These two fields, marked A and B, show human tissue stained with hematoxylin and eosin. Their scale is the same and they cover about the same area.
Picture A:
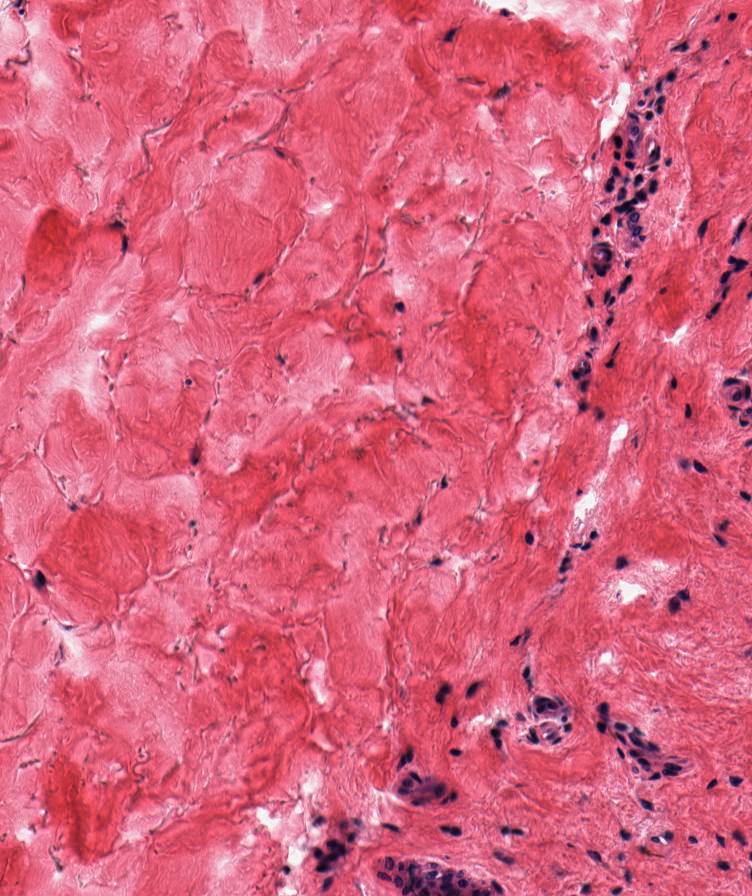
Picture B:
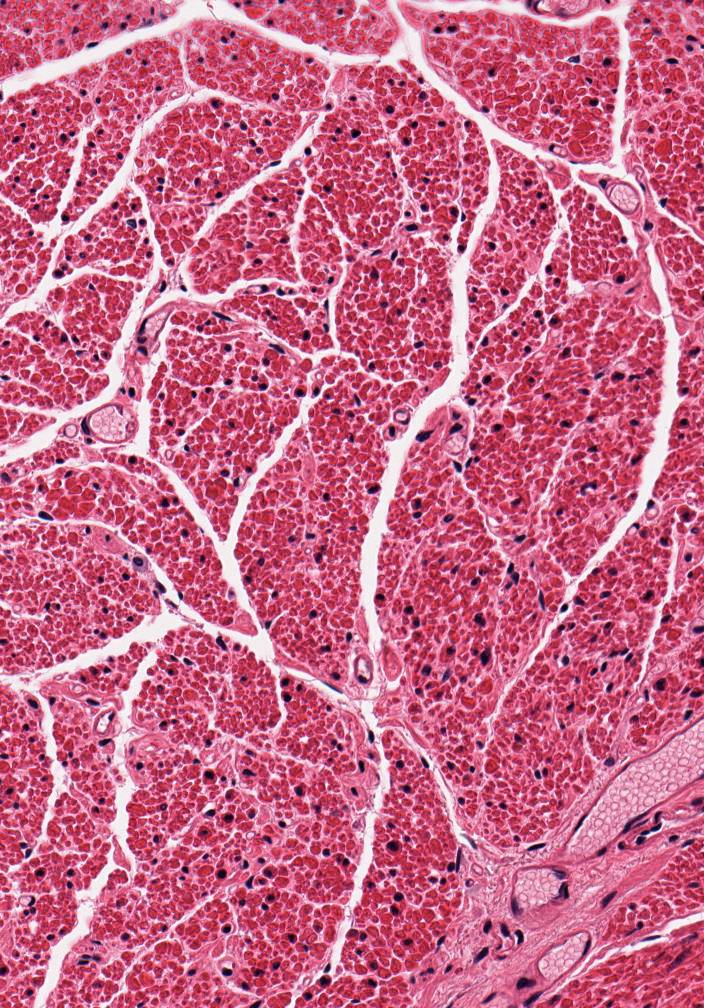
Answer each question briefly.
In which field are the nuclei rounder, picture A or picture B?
B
